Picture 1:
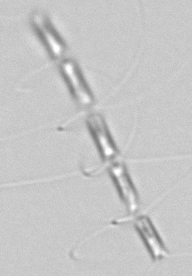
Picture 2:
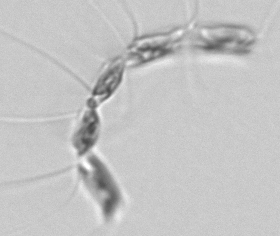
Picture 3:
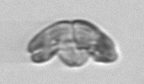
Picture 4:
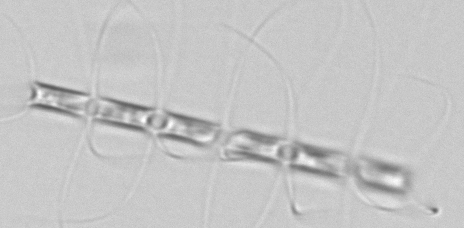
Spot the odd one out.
Picture 3 (Karenia papilionacea among Chaetoceros).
